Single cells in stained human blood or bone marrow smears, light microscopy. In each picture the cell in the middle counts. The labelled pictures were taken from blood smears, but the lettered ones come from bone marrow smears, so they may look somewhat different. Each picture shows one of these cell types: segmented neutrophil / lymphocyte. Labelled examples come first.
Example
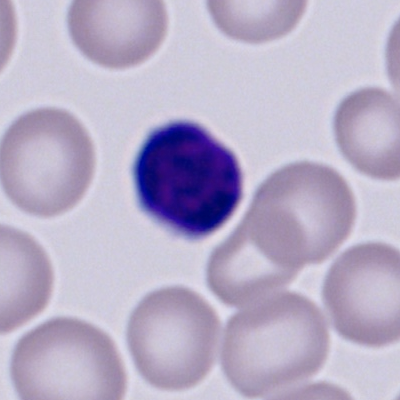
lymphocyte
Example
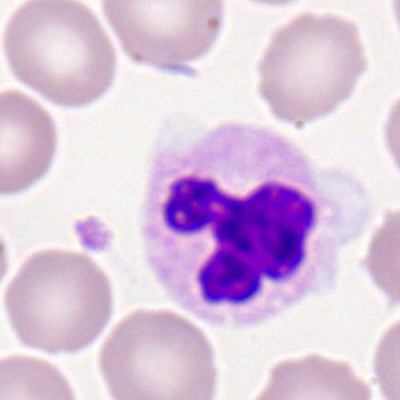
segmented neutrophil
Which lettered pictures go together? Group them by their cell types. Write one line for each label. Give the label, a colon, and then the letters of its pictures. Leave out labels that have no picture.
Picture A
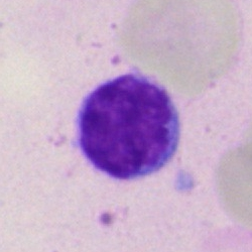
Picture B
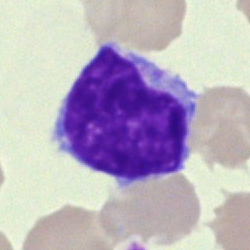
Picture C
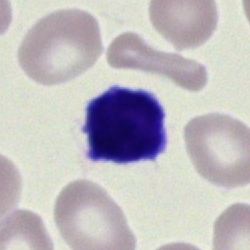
lymphocyte: A, B, C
